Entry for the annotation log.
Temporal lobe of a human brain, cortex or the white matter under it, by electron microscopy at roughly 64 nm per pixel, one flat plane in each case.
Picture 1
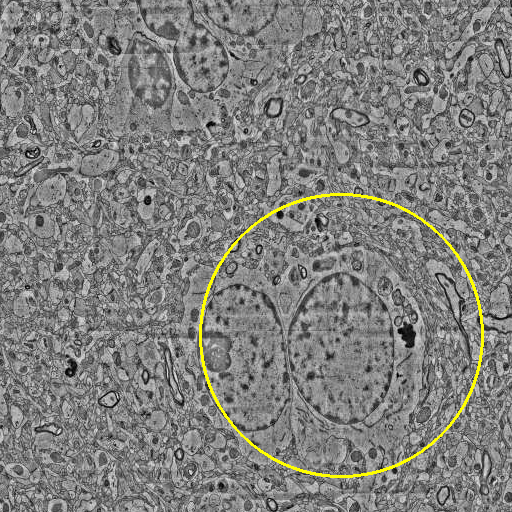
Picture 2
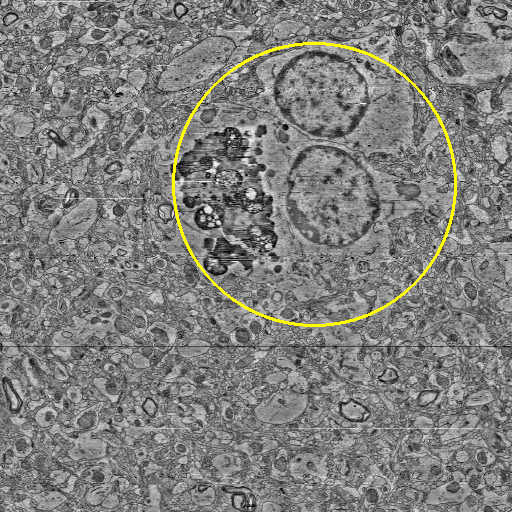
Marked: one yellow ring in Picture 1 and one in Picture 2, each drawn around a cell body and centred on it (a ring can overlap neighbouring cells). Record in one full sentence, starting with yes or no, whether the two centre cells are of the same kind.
Yes, both cells are of the same kind.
